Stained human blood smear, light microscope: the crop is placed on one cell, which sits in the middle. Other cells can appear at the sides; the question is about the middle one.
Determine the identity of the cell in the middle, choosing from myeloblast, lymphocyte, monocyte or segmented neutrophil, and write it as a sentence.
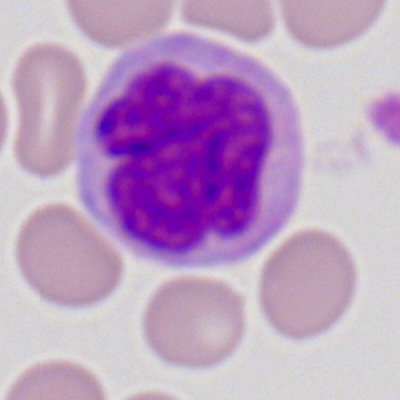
On this slide crop, the central cell is a monocyte.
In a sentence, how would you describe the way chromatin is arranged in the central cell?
The nucleus shows chromatin that is coarsely clumped.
